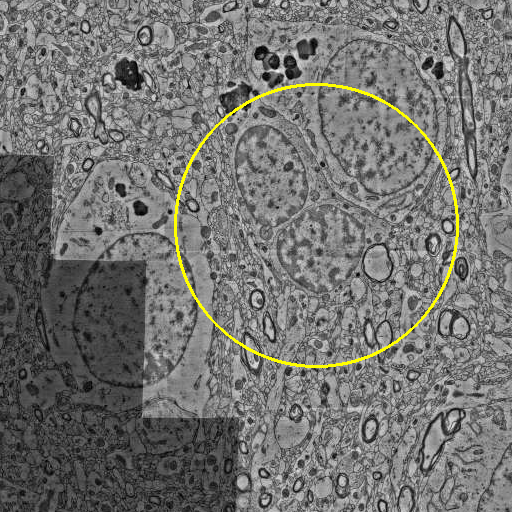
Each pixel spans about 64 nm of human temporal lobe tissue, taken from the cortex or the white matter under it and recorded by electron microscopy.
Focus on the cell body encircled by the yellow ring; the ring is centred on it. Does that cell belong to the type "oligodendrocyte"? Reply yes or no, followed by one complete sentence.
Yes, that type fits the cell lying at the centre of the ring in the picture.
